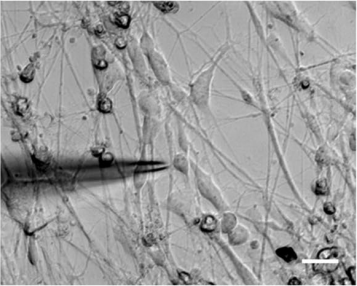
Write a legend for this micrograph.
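This is a phase-contrast view of cultured neurons with elongated cell bodies and a network of thin processes. A dark glass pipette comes in from the left, and its tip rests on one cell. Many cell bodies are spindle-shaped or oval and pale, and they extend long, slender processes. Bundles and single strands of processes cross the field, often running roughly diagonally. Numerous dark, round, refractile bodies are scattered among the cells, especially on the left and at the bottom.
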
